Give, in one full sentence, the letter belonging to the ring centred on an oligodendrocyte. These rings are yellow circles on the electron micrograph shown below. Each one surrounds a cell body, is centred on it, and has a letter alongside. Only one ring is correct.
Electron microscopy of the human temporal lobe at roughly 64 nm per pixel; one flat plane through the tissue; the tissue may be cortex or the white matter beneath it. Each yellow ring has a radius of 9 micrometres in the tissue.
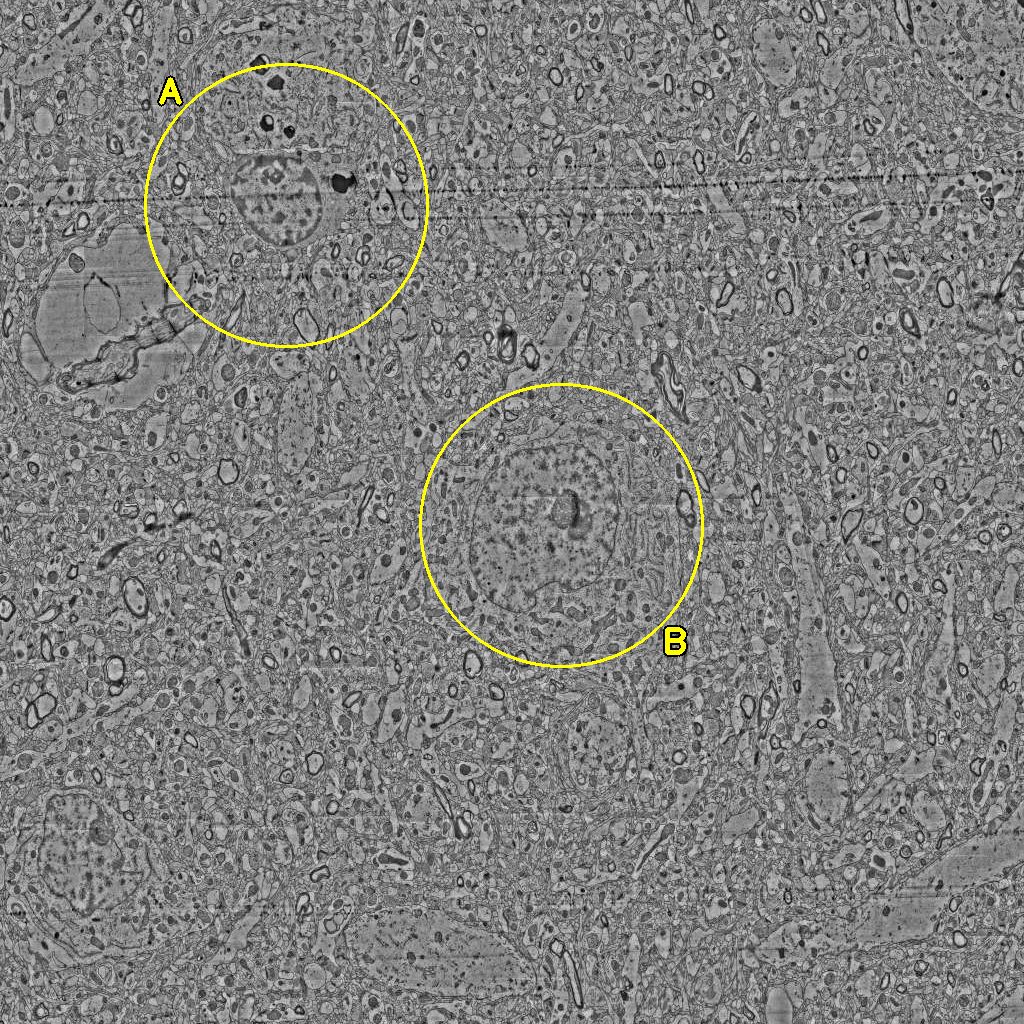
My answer is A, the ring centred on the cell asked for.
